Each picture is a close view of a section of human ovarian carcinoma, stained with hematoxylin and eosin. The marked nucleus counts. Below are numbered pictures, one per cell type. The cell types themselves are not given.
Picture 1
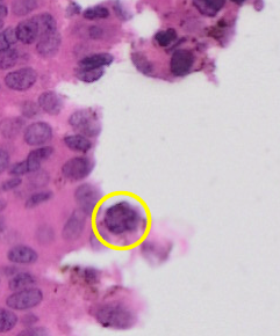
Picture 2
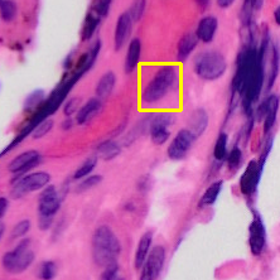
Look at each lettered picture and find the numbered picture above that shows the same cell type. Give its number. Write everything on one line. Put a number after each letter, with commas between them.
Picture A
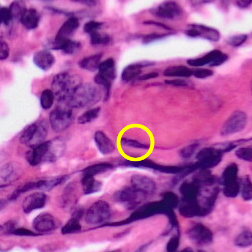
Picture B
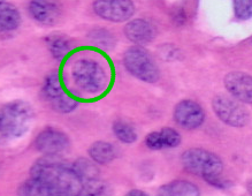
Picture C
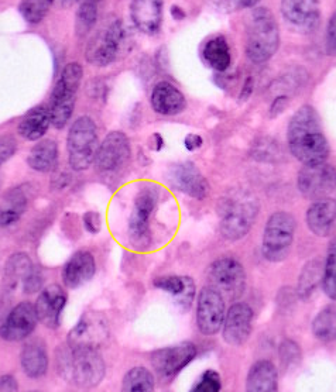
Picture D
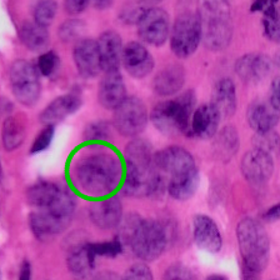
A 2, B 1, C 2, D 1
